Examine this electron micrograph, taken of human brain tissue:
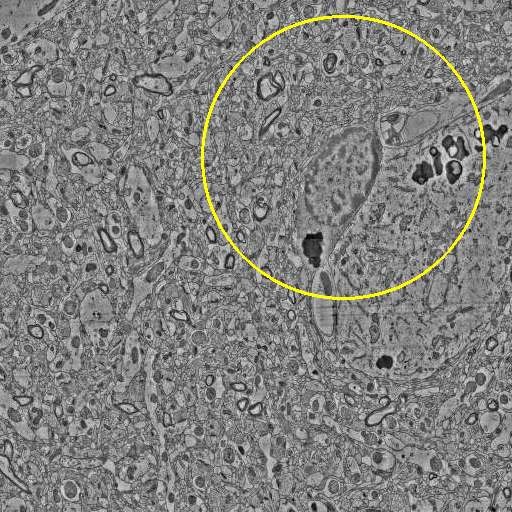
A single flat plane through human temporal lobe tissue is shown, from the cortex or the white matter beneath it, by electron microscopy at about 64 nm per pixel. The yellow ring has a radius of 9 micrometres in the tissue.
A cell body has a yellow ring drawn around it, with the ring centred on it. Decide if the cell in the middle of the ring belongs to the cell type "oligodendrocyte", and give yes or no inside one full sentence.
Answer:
Yes, the cell at the centre of the yellow ring in this picture is of that type.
